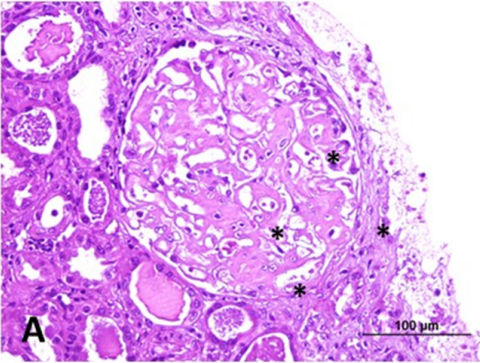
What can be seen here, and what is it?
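This is a glomerulus of the kidney, surrounded by tubules. Its mesangial areas are widened by pale pink, glassy, nearly acellular material that pushes apart the capillary loops, and only a few scattered nuclei remain. Around it, tubules lined by pink epithelial cells are cut in cross-section, and several contain pink homogeneous casts in their lumens.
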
